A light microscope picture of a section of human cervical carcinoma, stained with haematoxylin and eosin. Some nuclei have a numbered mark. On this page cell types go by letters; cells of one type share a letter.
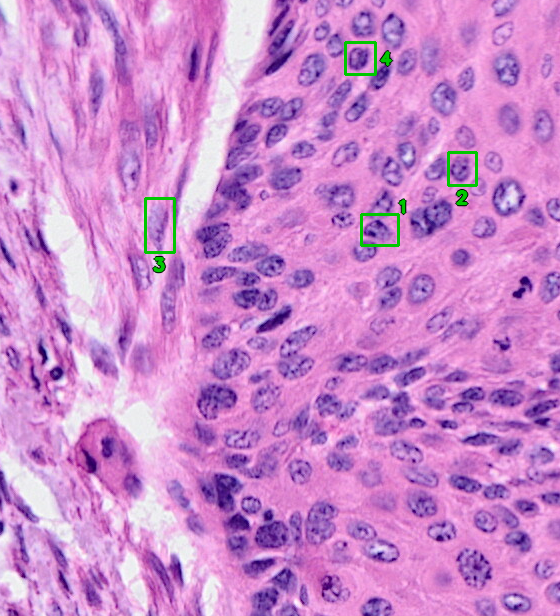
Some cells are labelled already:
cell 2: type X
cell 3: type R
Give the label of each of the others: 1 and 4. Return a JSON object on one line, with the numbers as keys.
{"1": "type X", "4": "type X"}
